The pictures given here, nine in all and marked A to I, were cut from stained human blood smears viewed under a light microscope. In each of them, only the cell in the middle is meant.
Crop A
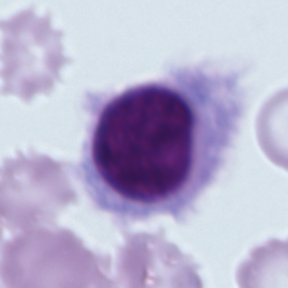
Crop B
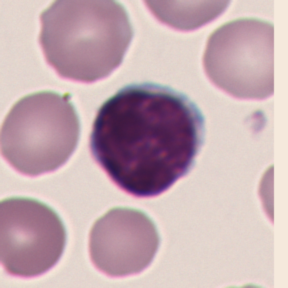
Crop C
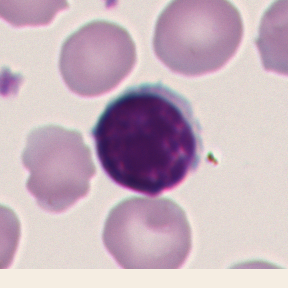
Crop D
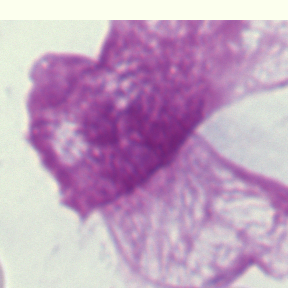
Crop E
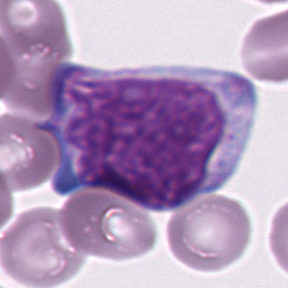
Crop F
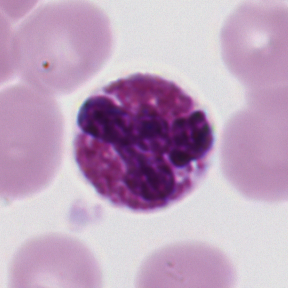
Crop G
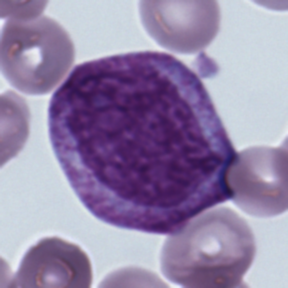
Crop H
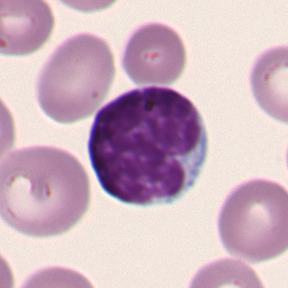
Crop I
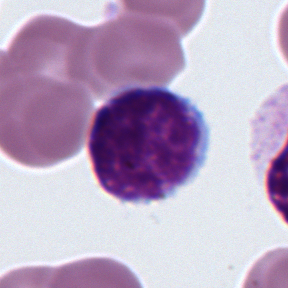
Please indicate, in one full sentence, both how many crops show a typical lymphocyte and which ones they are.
Summing up, there are four crops with typical lymphocytes: B, C, H and I.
